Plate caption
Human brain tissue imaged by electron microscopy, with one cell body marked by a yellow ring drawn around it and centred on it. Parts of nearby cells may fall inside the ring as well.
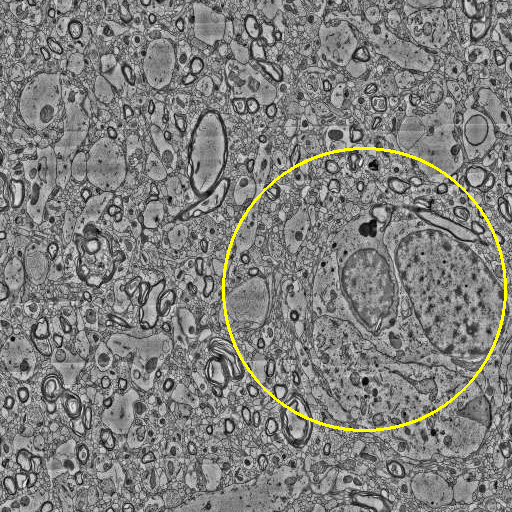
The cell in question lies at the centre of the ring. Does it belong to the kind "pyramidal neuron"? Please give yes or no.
No, it belongs to another kind.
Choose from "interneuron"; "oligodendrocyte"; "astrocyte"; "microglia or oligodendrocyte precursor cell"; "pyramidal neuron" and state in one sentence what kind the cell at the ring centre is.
Here, the ring is centred on an oligodendrocyte instead.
